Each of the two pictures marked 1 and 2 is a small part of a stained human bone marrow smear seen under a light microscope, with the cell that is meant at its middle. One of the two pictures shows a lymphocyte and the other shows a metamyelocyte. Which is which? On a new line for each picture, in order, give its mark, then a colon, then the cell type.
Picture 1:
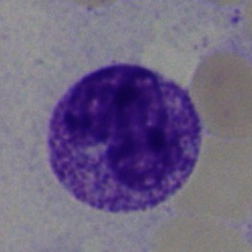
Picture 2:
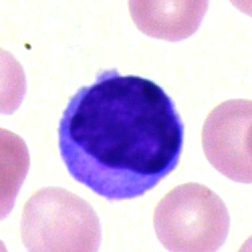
1: metamyelocyte
2: lymphocyte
